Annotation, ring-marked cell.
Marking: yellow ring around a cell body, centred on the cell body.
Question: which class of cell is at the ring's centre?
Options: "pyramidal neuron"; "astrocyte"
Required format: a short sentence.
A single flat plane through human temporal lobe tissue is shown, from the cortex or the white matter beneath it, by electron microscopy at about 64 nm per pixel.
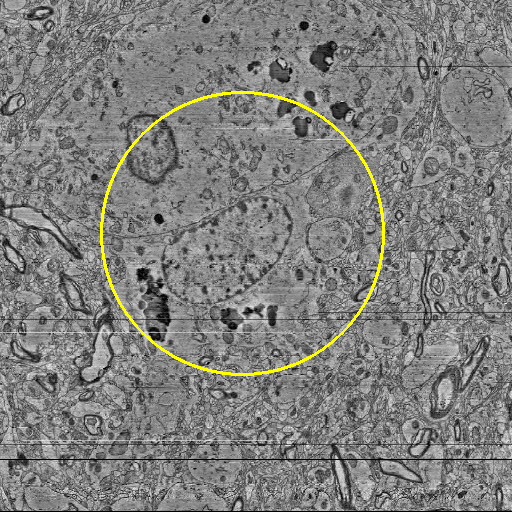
At the ring's centre is an astrocyte.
